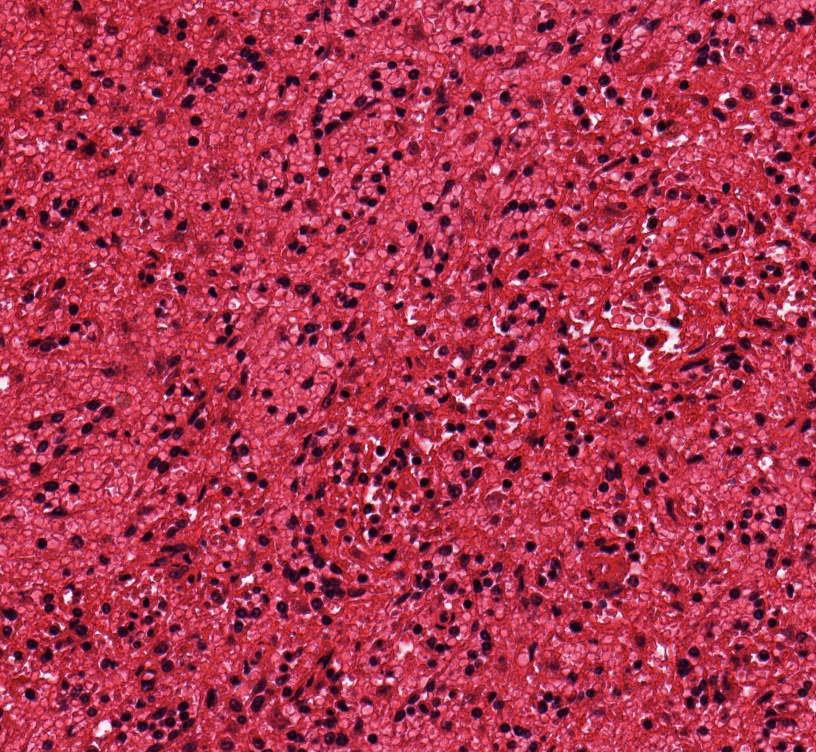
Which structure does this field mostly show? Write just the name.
red pulp of the spleen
